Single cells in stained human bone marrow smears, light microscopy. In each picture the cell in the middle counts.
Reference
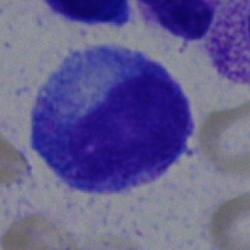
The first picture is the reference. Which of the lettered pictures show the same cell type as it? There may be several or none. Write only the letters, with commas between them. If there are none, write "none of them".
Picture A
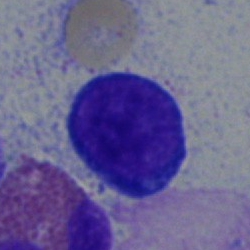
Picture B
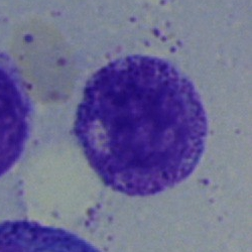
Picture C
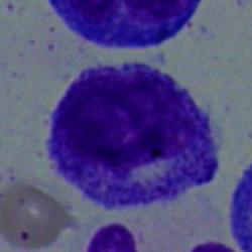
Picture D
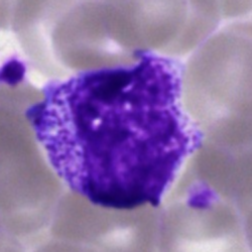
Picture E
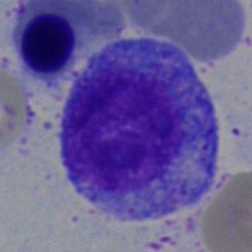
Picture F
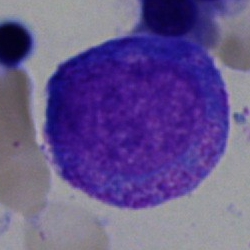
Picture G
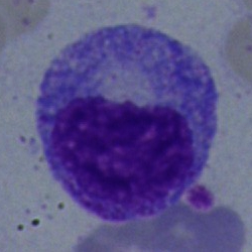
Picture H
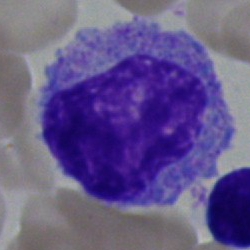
B, C, D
